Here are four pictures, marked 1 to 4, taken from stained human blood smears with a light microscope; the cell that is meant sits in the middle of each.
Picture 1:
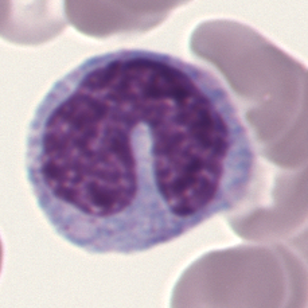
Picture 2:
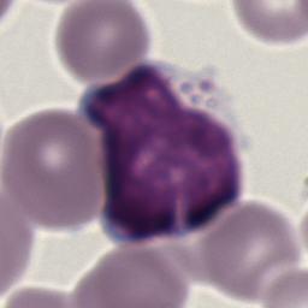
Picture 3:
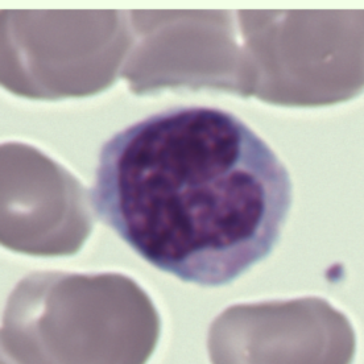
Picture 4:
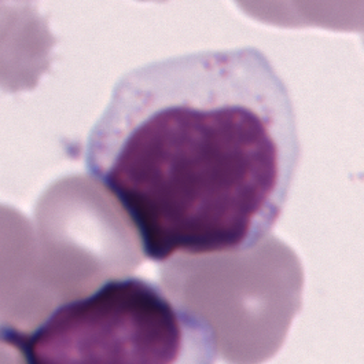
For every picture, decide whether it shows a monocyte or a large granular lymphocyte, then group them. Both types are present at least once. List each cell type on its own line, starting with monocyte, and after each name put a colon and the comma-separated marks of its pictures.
monocyte: 1, 3
large granular lymphocyte: 2, 4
